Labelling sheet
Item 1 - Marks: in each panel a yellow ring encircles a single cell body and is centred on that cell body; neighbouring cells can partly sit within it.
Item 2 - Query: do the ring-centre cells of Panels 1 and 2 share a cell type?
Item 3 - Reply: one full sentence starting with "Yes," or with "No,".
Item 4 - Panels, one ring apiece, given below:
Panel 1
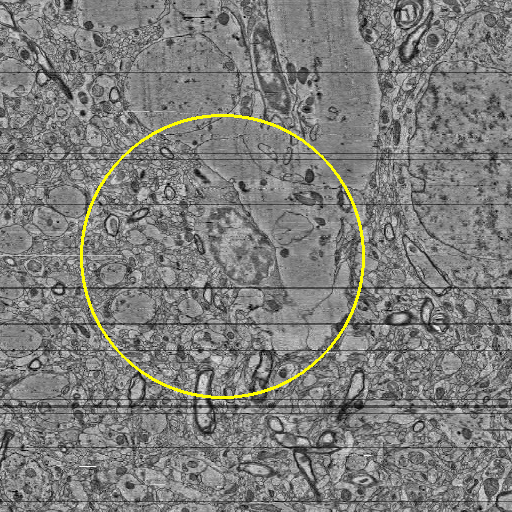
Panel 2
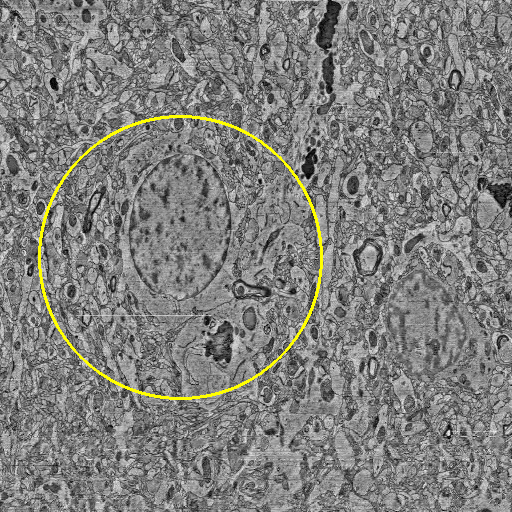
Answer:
No, Panel 1 and Panel 2 show two cell types at the centres of their rings.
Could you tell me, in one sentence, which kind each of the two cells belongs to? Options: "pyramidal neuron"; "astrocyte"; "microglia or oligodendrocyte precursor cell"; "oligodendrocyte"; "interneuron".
At the centre of the first ring sits an oligodendrocyte, and at the centre of the second sits an astrocyte.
